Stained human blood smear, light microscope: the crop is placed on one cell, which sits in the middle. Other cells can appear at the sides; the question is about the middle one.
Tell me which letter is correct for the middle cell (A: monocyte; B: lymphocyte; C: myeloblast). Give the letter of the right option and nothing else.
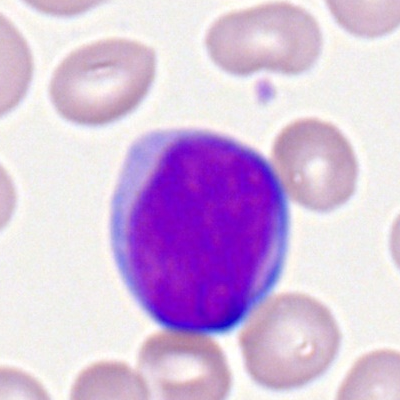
C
